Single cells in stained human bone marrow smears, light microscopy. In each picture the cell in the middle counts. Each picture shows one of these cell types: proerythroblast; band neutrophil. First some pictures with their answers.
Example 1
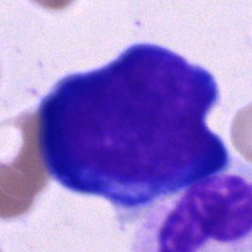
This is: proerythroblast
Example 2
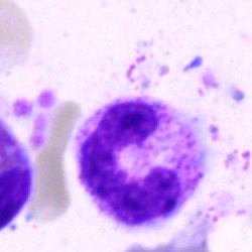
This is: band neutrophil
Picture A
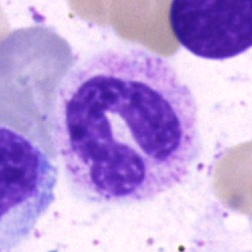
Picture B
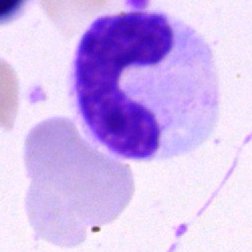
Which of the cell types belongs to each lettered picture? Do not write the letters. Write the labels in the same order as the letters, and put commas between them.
band neutrophil, band neutrophil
